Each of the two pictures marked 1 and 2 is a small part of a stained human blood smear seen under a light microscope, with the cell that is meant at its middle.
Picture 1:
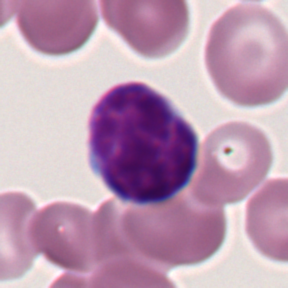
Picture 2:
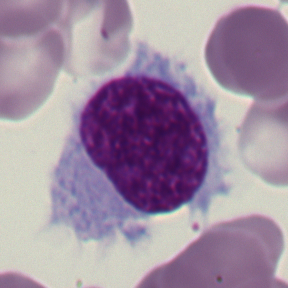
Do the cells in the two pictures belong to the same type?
no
